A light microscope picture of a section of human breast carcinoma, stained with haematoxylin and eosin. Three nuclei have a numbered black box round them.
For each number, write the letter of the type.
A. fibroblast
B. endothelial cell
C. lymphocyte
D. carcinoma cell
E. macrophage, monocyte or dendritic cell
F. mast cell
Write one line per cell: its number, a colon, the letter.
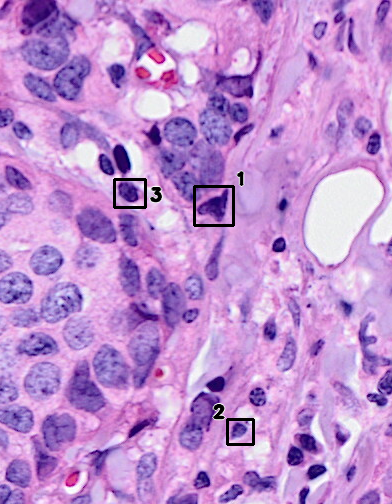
1: D
2: C
3: C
